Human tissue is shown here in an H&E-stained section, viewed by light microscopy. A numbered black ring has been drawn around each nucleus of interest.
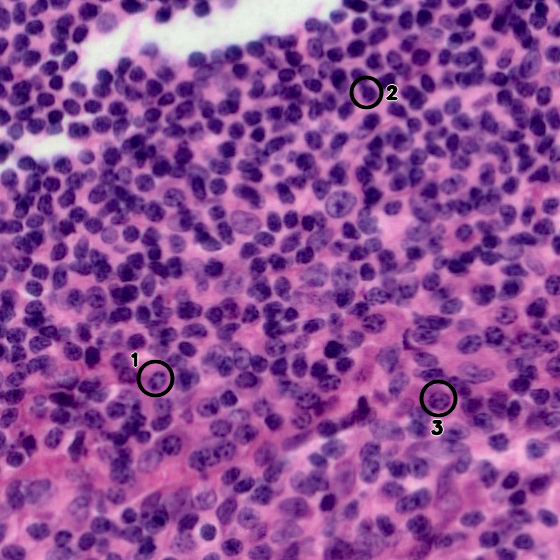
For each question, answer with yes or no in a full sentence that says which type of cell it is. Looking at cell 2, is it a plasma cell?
No, the cell at number 2 is a small lymphocyte instead of a plasma cell.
